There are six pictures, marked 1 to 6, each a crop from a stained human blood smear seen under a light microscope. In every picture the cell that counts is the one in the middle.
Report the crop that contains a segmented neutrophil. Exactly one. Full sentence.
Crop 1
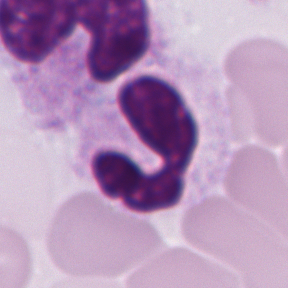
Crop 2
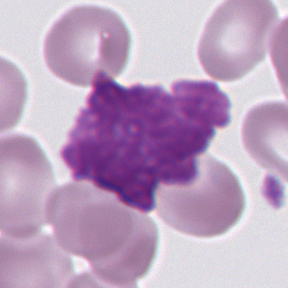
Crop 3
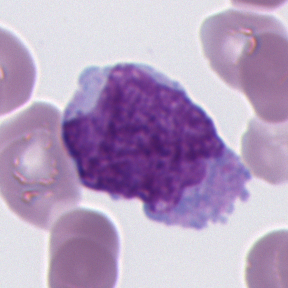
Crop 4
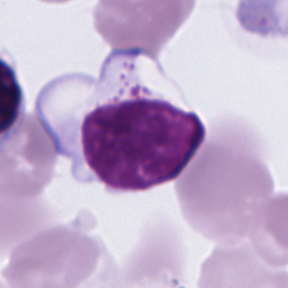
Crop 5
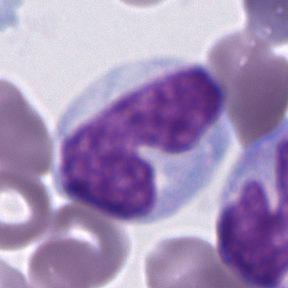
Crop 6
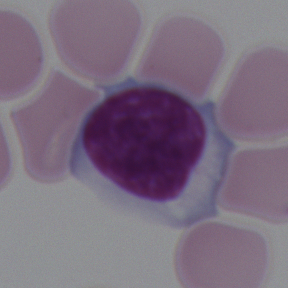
On review of the set, crop 1 is the one showing a segmented neutrophil.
